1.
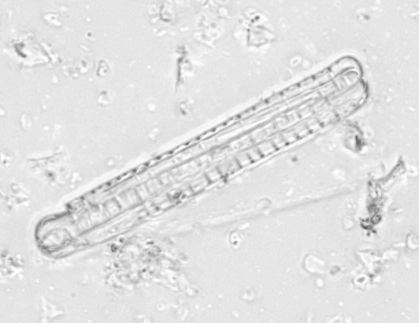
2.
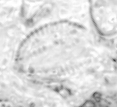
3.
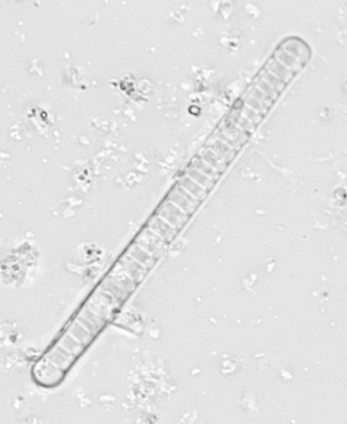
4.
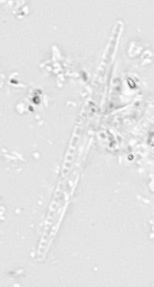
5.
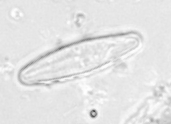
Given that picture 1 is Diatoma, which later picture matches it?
3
